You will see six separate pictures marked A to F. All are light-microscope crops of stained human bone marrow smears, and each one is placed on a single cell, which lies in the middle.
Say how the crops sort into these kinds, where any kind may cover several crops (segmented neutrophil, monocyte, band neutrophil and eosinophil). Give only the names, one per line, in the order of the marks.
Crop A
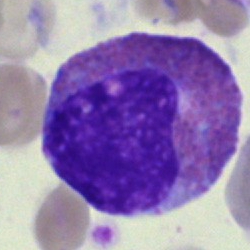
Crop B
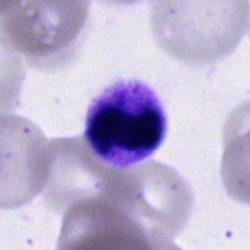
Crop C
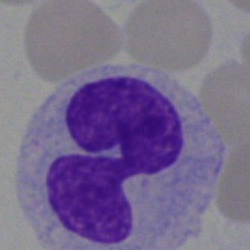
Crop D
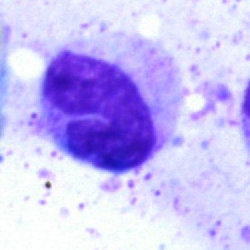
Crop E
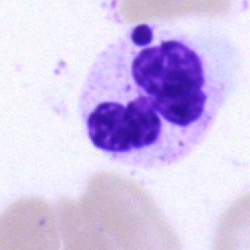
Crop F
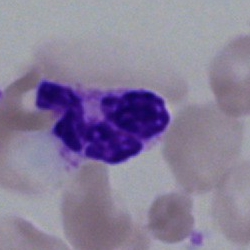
eosinophil
segmented neutrophil
monocyte
band neutrophil
segmented neutrophil
segmented neutrophil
